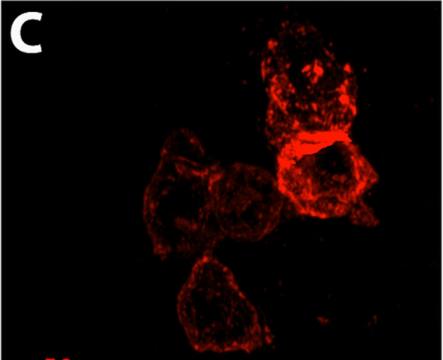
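No full rosette is formed. The red staining is fainter and more granular in some cells than in others. Two cells at the top show a bright red border where they meet.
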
